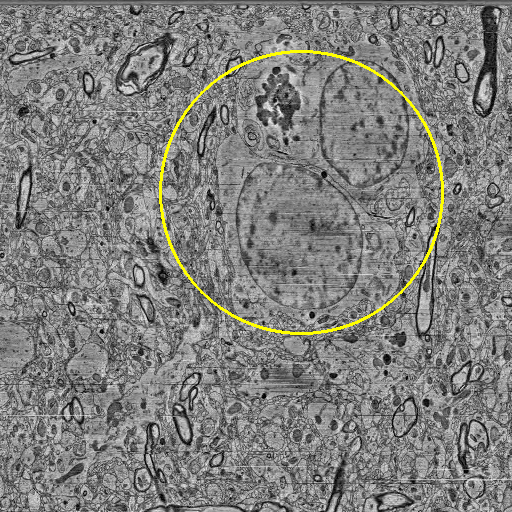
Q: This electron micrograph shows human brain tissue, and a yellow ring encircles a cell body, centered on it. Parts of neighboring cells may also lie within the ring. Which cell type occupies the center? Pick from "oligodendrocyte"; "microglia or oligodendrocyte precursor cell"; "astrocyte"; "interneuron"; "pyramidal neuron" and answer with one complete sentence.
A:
What sits at the ring's center in this micrograph is an astrocyte, among those choices.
